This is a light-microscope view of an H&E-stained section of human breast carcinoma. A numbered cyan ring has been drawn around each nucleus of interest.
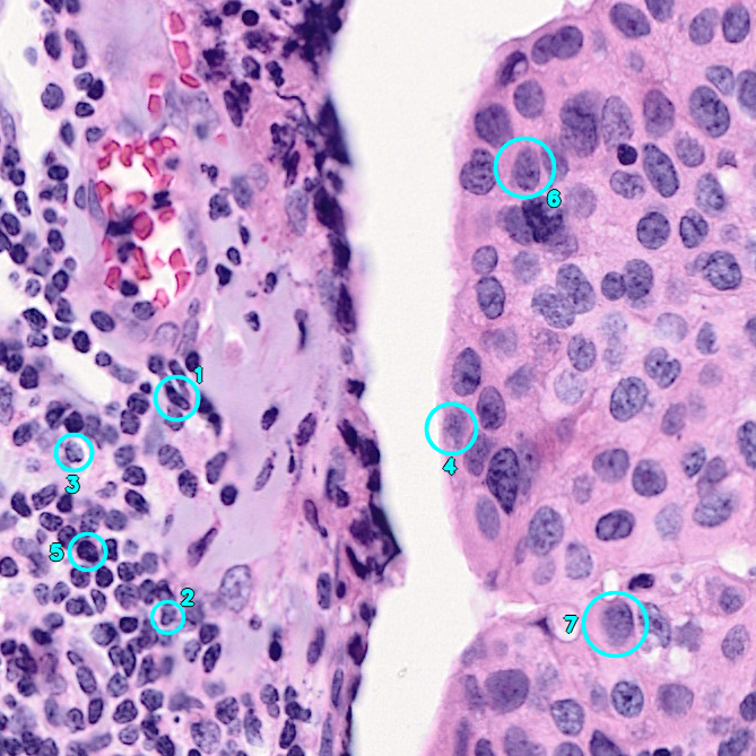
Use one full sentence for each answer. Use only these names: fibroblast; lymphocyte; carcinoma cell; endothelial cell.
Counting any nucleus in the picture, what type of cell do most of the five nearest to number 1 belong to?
Most of the five nuclei nearest to number 1 are those of lymphocytes.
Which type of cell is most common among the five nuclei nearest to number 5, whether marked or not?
Most of the five nuclei nearest to number 5 are those of lymphocytes.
